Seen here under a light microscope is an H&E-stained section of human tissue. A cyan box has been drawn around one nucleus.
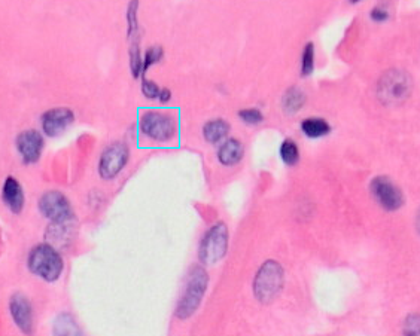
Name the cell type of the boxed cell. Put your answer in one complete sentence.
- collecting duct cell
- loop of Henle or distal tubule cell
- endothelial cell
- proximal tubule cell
In this section of tissue, the boxed cell is a collecting duct cell.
